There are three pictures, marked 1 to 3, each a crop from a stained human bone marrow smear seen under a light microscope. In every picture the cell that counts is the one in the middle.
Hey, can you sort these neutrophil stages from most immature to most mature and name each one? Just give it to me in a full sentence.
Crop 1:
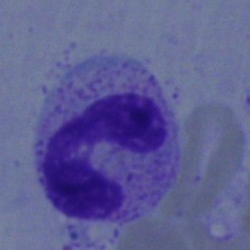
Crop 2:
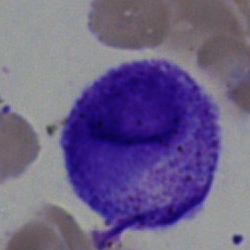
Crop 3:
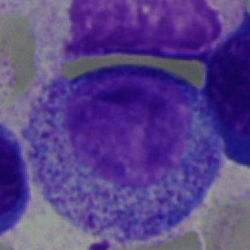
The order, going from least to most mature, is crop 3 (a promyelocyte), crop 2 (a myelocyte) and crop 1 (a band neutrophil).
